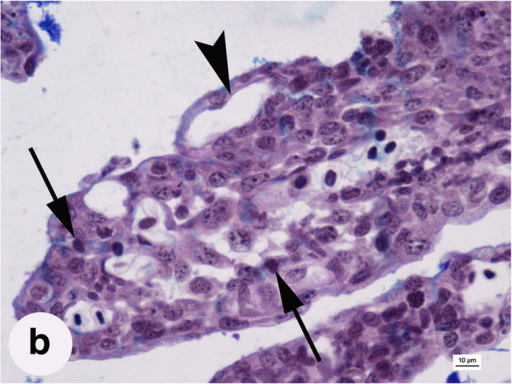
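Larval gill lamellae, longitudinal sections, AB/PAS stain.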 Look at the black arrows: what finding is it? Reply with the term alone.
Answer: Pyknotic nucleus.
